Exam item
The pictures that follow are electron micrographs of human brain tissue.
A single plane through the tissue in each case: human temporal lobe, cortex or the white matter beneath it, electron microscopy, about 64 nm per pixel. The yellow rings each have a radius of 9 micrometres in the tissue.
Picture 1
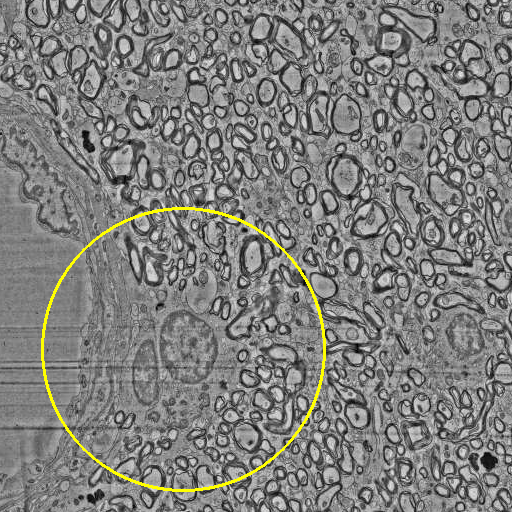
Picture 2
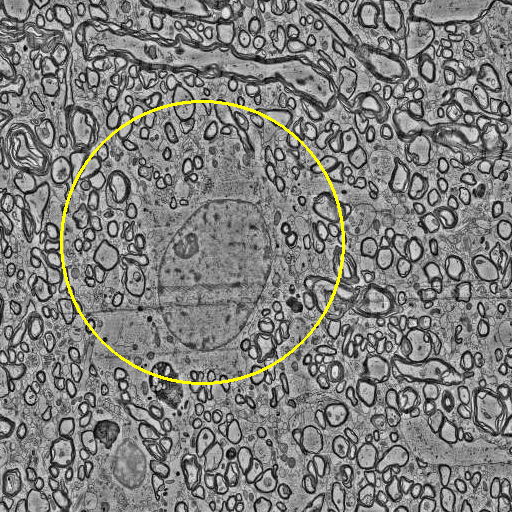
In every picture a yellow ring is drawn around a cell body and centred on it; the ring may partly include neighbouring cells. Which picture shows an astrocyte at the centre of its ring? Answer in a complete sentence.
The cell at the centre of the ring in Picture 2 is the one asked for.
